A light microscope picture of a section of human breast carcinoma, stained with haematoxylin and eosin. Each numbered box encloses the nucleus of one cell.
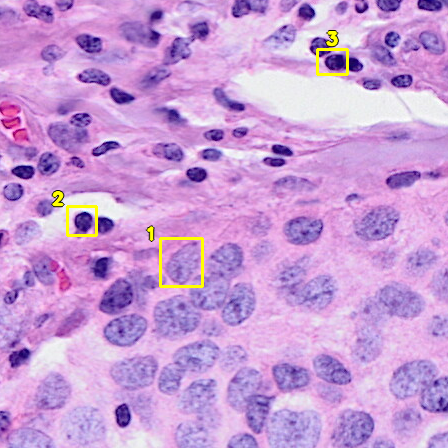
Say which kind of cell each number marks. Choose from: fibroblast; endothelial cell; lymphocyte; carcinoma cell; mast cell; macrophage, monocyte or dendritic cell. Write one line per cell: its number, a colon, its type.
1: carcinoma cell
2: lymphocyte
3: lymphocyte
